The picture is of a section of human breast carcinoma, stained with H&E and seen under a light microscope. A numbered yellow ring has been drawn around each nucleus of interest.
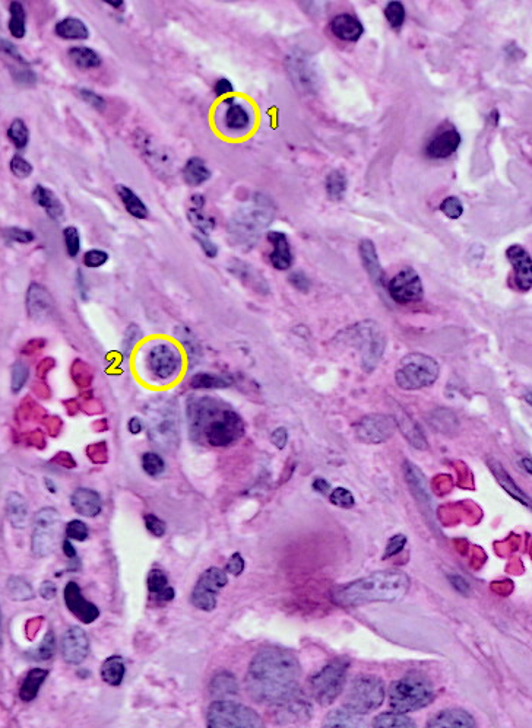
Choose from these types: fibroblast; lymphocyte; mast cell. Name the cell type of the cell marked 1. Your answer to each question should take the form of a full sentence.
The cell pointed out as number 1 is a lymphocyte.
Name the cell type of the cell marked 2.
The numbered cell 2 is identified here as a mast cell.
